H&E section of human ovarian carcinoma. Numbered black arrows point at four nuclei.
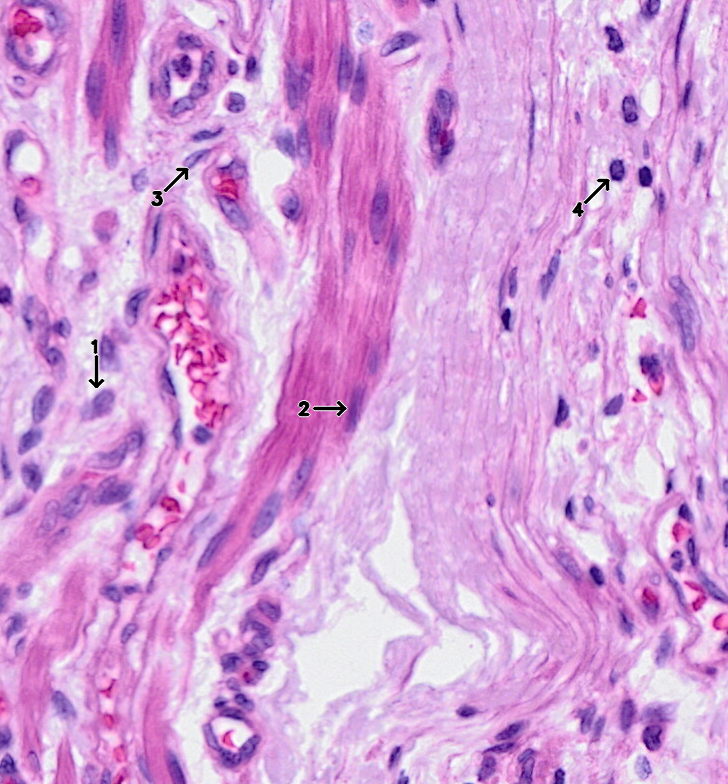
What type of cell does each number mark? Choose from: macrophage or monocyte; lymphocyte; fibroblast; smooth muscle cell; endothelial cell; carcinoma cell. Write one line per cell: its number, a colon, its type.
1: fibroblast
2: smooth muscle cell
3: fibroblast
4: lymphocyte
